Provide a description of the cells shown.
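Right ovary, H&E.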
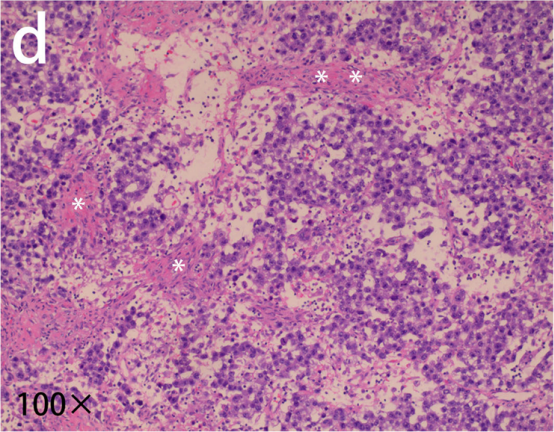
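At low magnification, tumor cells with purple nuclei and pale cytoplasm are arranged in islands and nests. Pink fibrous septa with scattered elongated nuclei run between the islands and divide them. Pale, loosely textured areas lie between some of the cell groups.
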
